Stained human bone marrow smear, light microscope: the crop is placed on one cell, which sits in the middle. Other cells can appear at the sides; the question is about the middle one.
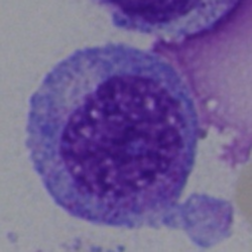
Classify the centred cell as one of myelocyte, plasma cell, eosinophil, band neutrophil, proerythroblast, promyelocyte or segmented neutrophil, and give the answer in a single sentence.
At the crop's centre, the cell is a promyelocyte.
